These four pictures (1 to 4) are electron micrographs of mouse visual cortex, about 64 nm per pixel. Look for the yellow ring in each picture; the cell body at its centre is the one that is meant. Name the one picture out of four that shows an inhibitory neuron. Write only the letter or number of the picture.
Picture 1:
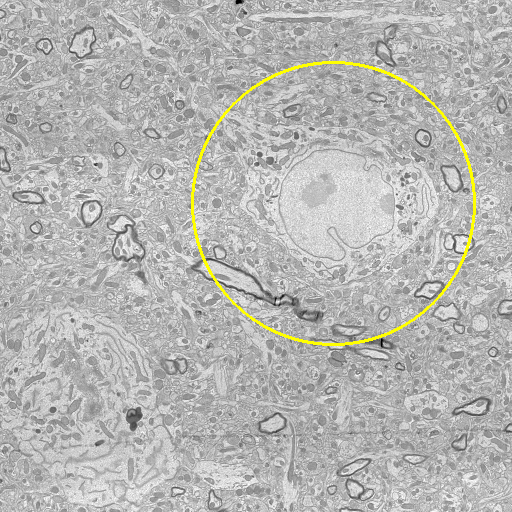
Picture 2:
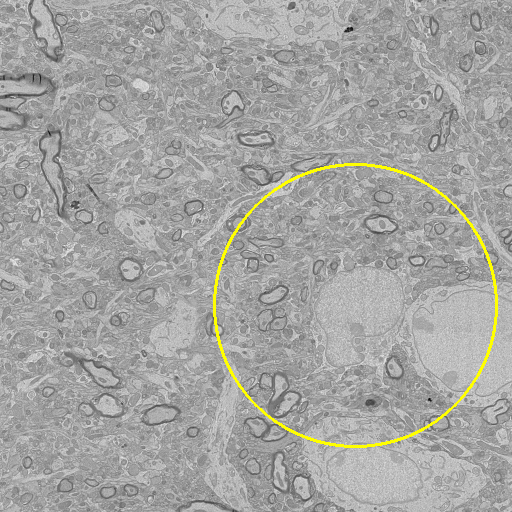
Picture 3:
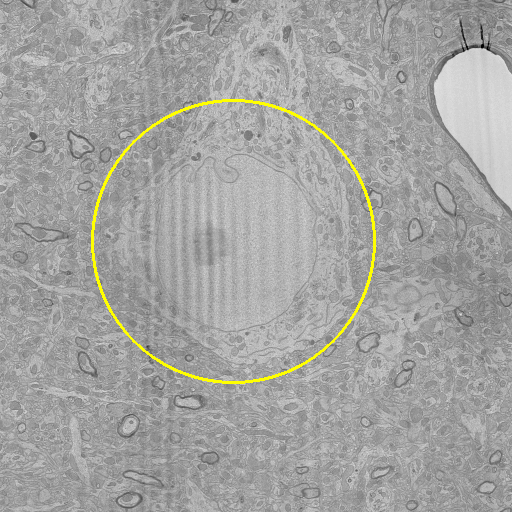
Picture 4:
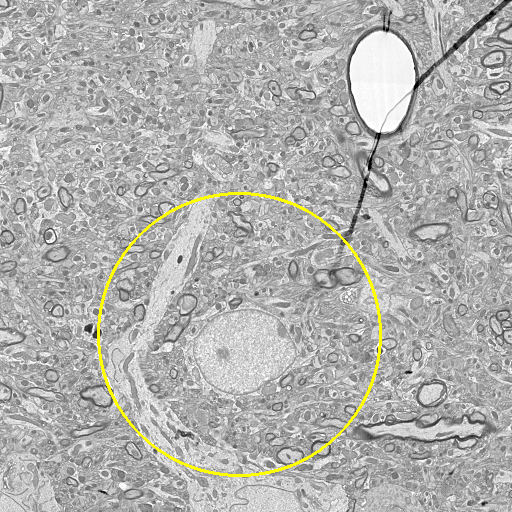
1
